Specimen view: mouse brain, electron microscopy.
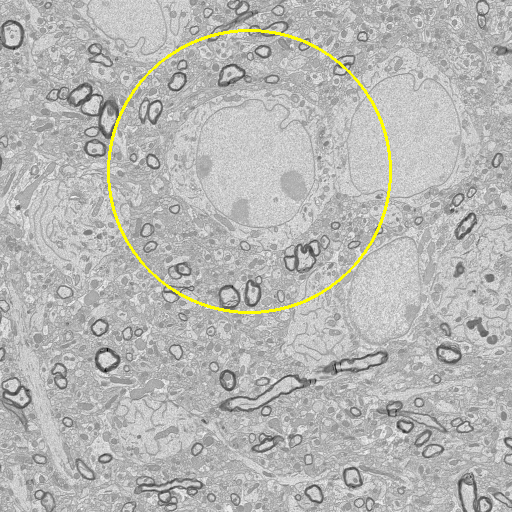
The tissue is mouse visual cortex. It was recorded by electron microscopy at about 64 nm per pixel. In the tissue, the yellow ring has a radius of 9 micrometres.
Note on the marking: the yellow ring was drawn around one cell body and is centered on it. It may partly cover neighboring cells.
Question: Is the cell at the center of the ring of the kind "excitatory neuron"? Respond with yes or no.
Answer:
yes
